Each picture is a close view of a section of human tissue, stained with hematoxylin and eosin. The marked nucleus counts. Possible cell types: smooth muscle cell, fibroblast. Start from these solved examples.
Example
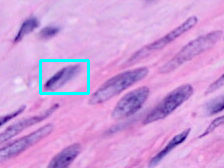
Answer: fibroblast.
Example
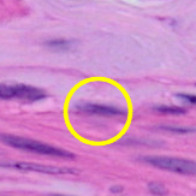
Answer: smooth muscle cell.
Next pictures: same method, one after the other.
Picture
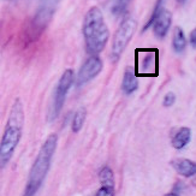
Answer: smooth muscle cell.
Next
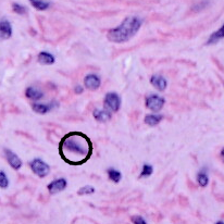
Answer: smooth muscle cell.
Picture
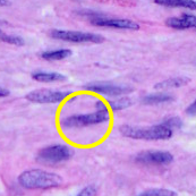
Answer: fibroblast.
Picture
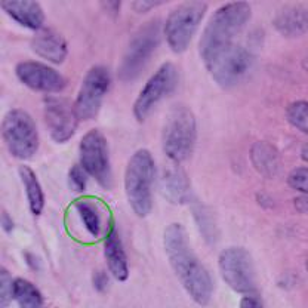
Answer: fibroblast.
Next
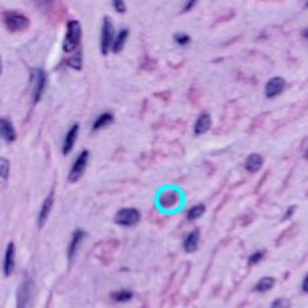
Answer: smooth muscle cell.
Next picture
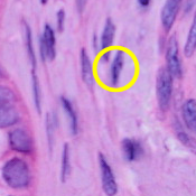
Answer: fibroblast.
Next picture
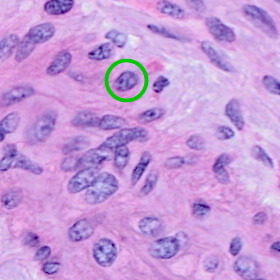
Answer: smooth muscle cell.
